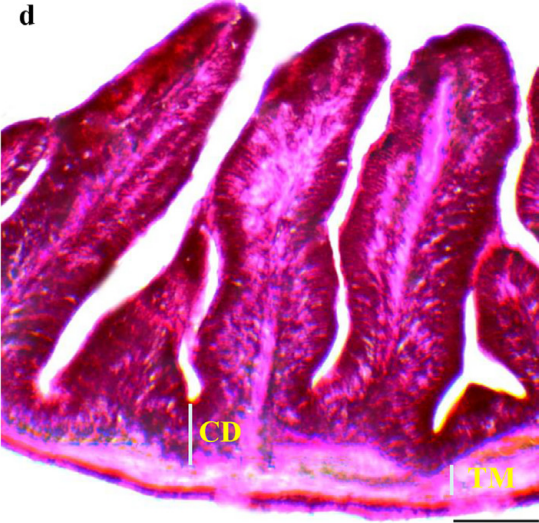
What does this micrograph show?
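Section of intestinal wall with tall, tapering villi stained pink to purple, standing closely side by side. Narrow clear clefts of lumen separate the villi and end just above the base of the mucosa. Below the mucosa lies a thin, pale pink outer layer marking the muscular part of the wall.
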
